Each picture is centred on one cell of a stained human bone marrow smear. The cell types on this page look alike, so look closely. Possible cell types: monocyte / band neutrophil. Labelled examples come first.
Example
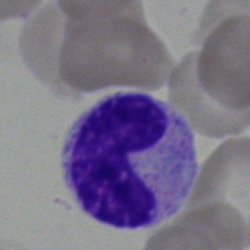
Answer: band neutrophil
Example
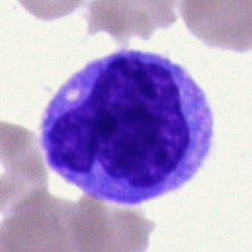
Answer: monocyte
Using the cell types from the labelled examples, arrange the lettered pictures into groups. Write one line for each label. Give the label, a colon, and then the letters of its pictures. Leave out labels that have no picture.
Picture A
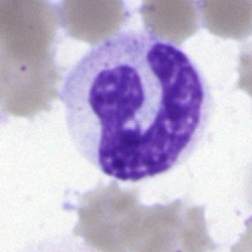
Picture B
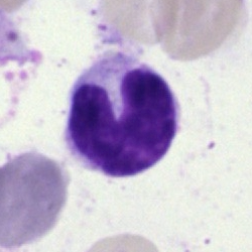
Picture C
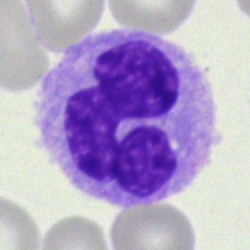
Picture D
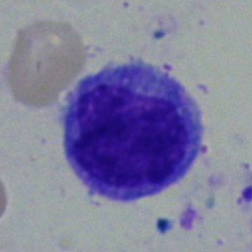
monocyte: C, D
band neutrophil: A, B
